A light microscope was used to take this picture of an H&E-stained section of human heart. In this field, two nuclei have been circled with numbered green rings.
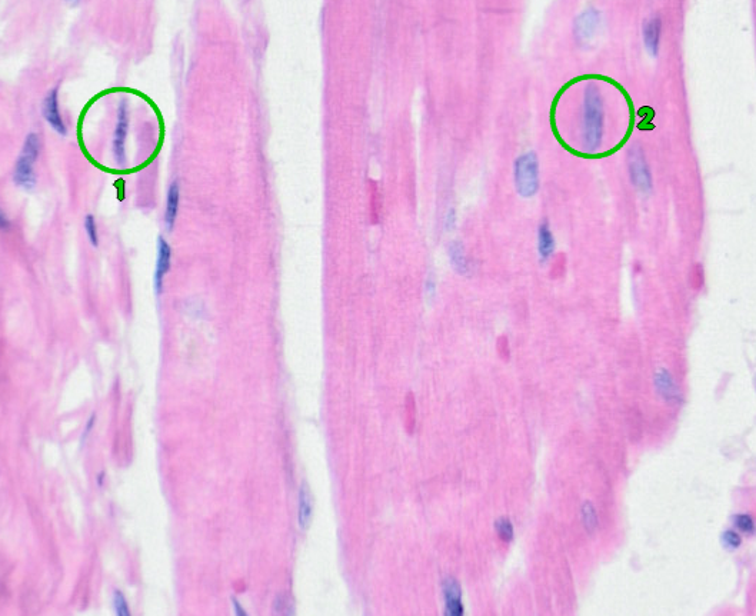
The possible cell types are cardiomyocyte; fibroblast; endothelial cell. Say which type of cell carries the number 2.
cardiomyocyte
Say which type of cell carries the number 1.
fibroblast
